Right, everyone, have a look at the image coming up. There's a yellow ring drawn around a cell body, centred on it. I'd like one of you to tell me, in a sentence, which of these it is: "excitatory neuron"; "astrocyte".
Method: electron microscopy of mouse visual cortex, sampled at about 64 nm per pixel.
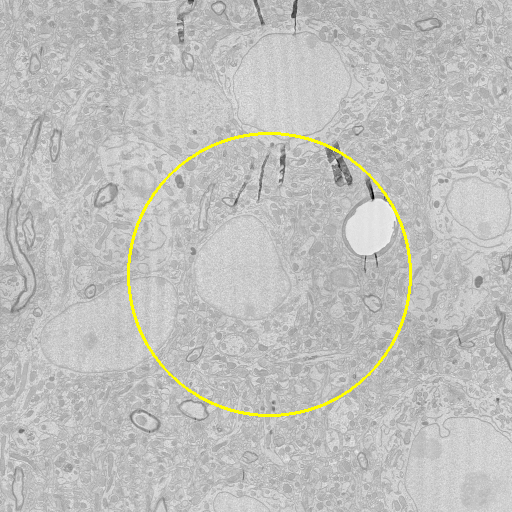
The yellow ring sits on an astrocyte.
